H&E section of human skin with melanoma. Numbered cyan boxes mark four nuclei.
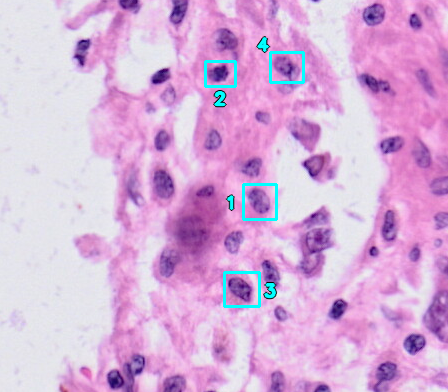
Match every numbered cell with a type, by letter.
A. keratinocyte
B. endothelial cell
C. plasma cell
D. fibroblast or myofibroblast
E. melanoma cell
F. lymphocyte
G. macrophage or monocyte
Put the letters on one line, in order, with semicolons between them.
G; F; G; G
